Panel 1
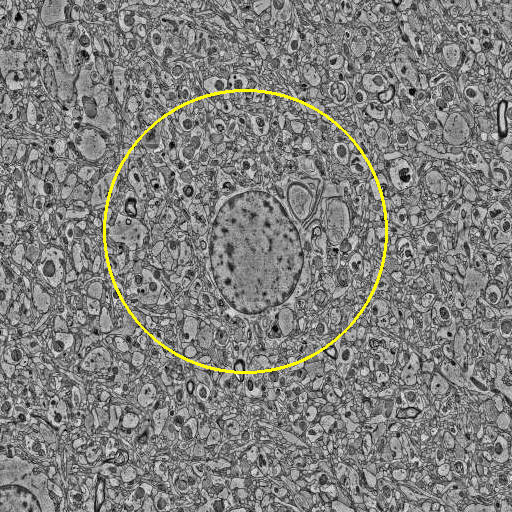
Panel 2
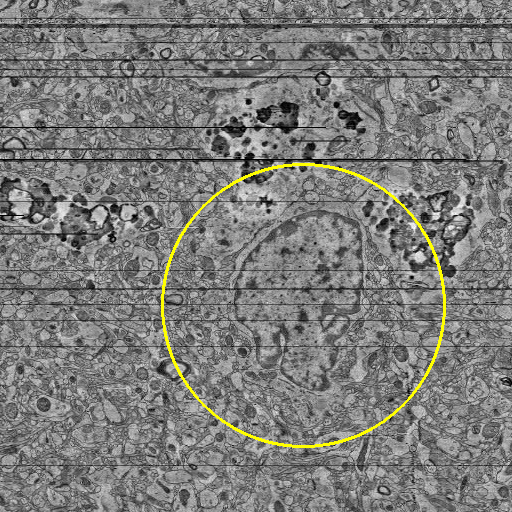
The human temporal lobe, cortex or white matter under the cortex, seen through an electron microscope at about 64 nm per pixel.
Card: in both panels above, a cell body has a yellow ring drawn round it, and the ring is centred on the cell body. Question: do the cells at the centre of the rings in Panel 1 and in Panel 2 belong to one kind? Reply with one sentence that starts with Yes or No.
Yes, the cells centred in the rings of Panel 1 and Panel 2 are one kind of cell.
